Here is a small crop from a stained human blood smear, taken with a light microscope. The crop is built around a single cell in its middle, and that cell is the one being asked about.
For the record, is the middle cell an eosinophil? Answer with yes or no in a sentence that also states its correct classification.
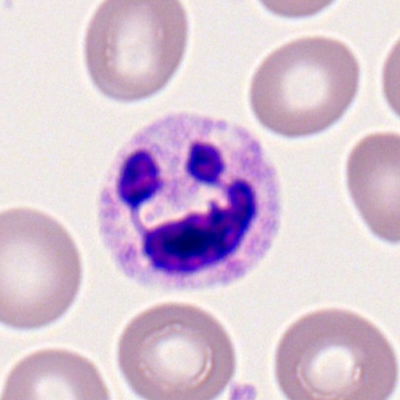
No, the cell in the centre is to be called a segmented neutrophil instead of an eosinophil.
